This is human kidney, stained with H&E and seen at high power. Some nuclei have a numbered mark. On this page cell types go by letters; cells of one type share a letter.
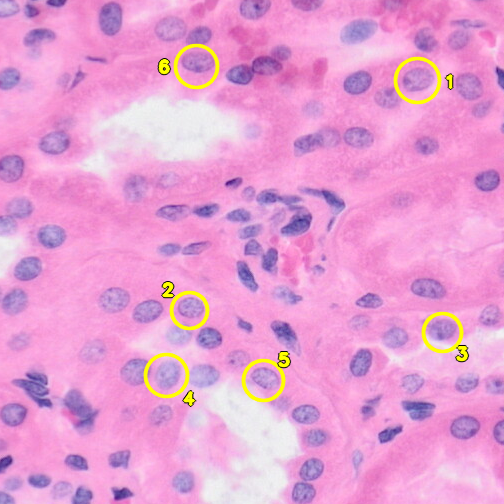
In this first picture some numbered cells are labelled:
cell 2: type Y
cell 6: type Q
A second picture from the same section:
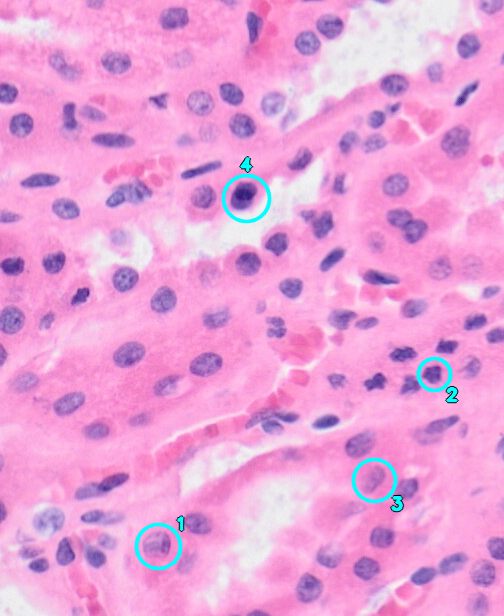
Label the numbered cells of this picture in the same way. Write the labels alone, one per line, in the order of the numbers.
type Q
type Y
type Q
type Y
